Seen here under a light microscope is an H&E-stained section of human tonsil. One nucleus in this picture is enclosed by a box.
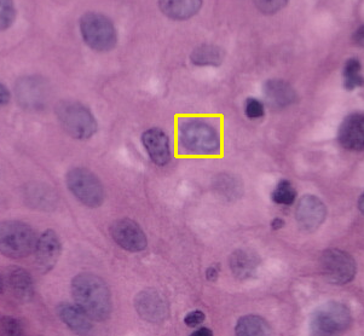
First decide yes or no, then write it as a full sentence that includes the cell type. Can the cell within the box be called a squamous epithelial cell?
Yes, with respect to cell type, the cell within the box is a squamous epithelial cell.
